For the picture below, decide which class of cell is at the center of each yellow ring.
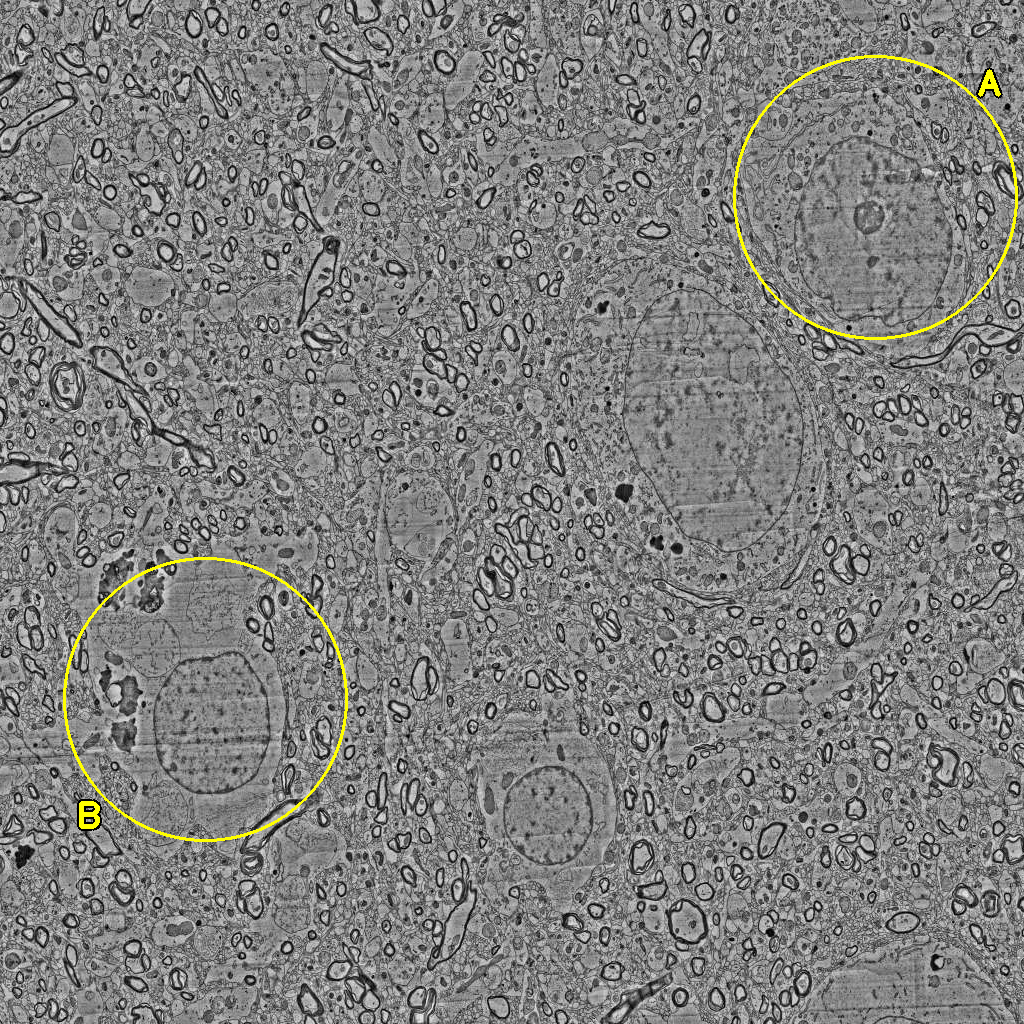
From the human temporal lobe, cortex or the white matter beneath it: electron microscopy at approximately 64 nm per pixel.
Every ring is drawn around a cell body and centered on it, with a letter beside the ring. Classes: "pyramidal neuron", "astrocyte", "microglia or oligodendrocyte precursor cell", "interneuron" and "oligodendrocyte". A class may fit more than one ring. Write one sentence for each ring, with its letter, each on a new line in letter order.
Centered in ring A is an interneuron.
Centered in ring B is an astrocyte.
